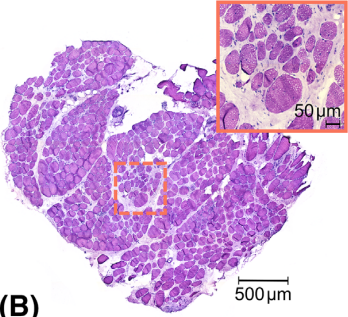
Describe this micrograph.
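Cross-section of skeletal muscle in haematoxylin and eosin, with the muscle fibres stained purple and the tissue between them pale. The fibres, cut transversely, are gathered into fascicles separated by pale connective tissue. In the enlarged inset the fibres are rounded and differ markedly in size, some large and others small, and they lie apart from one another in wide pale spaces instead of forming a tightly packed polygonal mosaic as in normal muscle. The fibre interiors show a faint mottled texture.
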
